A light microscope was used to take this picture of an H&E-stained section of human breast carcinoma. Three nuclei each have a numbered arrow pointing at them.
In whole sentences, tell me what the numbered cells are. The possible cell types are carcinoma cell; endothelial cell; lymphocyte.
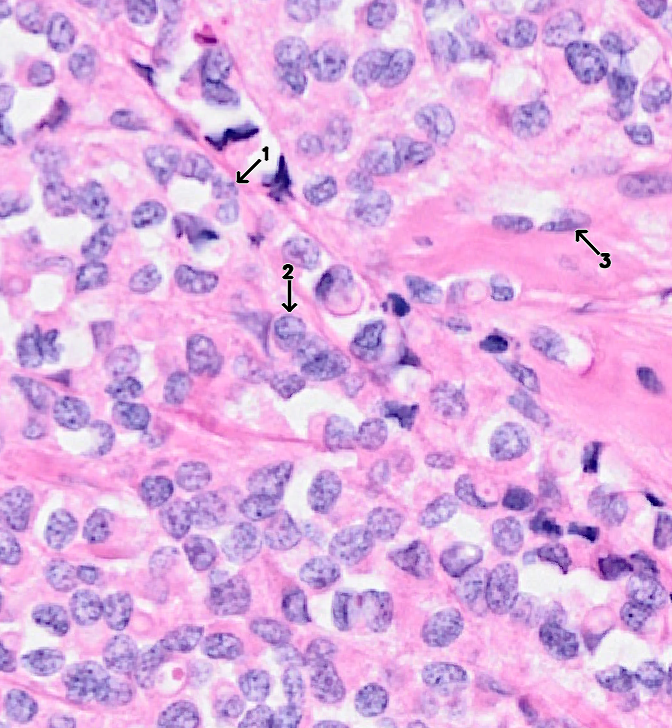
Cell 1 is a carcinoma cell, cell 2 is a carcinoma cell and cell 3 is an endothelial cell.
